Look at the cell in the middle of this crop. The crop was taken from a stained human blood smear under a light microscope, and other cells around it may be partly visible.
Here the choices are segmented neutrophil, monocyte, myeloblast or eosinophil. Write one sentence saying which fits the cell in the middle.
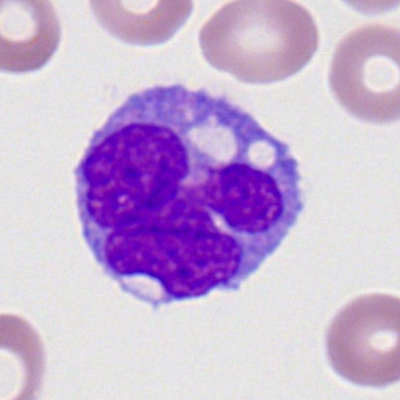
In this smear crop, the middle cell is a monocyte.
